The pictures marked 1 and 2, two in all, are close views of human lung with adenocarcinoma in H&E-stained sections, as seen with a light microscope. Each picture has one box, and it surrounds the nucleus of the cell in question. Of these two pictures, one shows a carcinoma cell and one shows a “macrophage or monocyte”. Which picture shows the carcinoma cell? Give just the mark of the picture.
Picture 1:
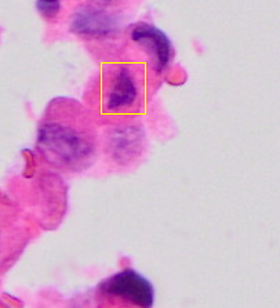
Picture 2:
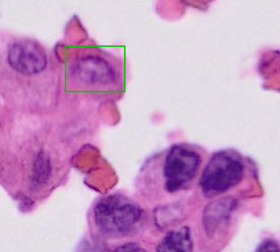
1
